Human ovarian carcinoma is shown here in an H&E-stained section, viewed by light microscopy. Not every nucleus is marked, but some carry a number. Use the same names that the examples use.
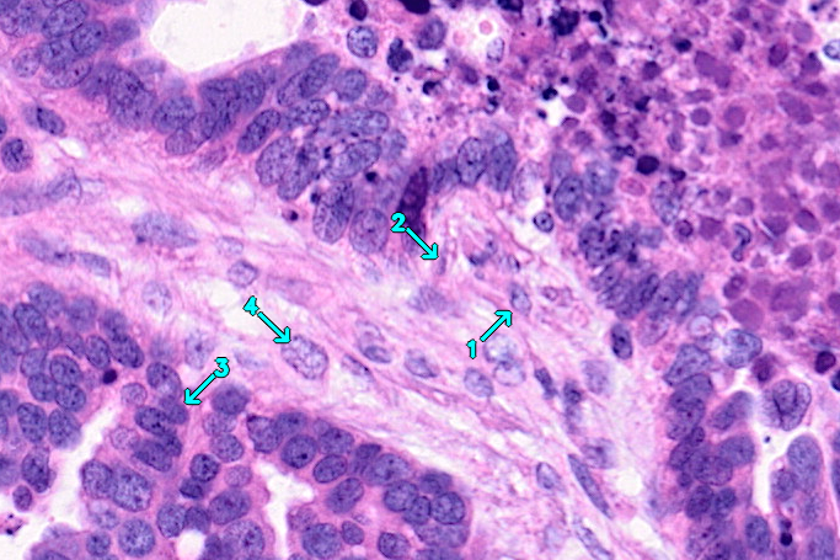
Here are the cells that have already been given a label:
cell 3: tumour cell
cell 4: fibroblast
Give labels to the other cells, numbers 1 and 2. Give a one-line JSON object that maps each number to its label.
{"1": "fibroblast", "2": "fibroblast"}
